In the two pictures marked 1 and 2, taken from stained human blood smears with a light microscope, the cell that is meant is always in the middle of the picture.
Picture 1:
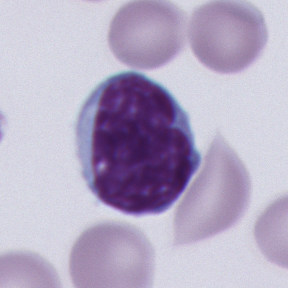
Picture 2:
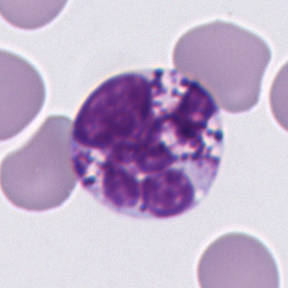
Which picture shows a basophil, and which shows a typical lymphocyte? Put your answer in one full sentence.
Picture 1 shows a typical lymphocyte and picture 2 shows a basophil.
